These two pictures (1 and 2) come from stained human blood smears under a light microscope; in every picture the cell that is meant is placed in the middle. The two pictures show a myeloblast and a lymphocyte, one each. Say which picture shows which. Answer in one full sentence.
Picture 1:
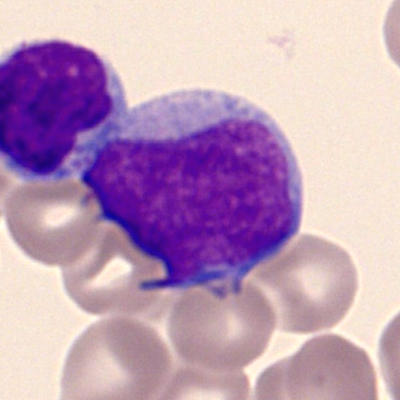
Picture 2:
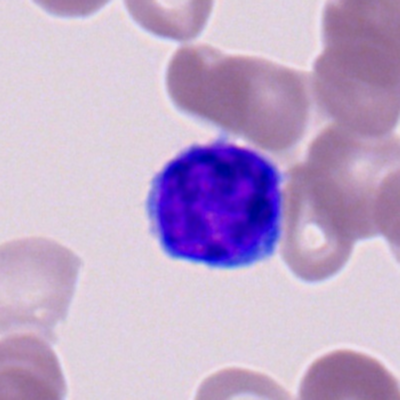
Picture 1 is of a myeloblast, and picture 2 is of a lymphocyte.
